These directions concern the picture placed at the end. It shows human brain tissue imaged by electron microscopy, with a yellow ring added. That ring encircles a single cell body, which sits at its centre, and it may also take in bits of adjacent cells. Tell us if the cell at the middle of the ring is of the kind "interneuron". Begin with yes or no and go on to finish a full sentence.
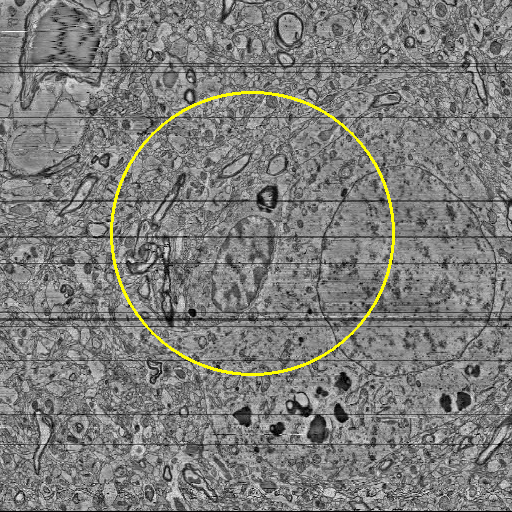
No, the cell sitting at the centre of the yellow ring in the picture belongs to another kind.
